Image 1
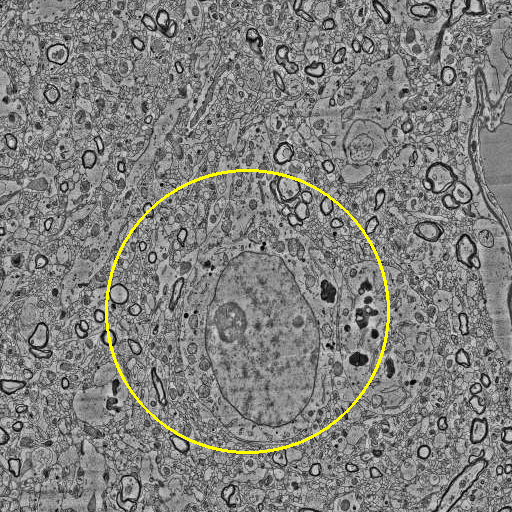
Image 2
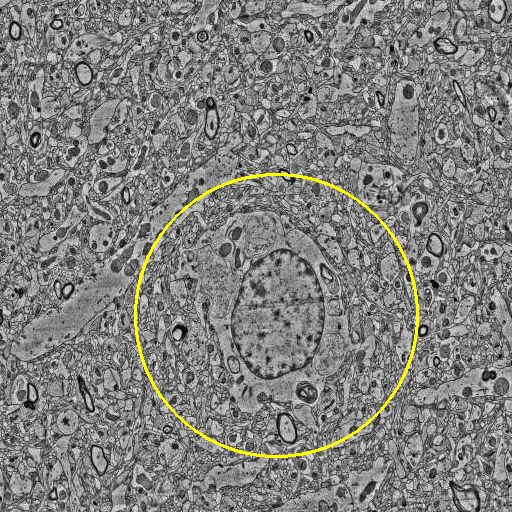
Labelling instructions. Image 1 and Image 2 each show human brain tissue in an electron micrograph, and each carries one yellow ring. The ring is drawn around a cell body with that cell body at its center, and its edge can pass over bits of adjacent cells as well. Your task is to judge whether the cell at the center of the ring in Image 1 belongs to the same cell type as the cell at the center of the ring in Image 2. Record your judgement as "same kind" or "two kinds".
two kinds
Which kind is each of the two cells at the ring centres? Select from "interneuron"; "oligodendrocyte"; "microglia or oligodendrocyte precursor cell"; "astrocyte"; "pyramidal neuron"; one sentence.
The cell at the centre of the ring is a pyramidal neuron in the first picture and an astrocyte in the second.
